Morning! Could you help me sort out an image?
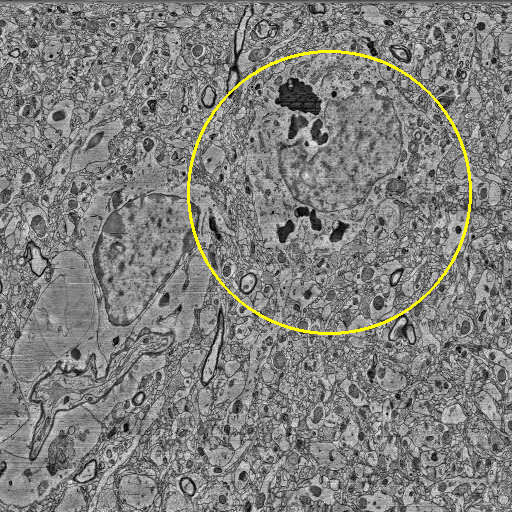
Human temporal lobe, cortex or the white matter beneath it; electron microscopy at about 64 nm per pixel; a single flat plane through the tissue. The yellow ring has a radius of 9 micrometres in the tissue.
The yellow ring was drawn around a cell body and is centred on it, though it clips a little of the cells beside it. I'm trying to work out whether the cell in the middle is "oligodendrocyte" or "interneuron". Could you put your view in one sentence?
The ringed cell body is that of an interneuron.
